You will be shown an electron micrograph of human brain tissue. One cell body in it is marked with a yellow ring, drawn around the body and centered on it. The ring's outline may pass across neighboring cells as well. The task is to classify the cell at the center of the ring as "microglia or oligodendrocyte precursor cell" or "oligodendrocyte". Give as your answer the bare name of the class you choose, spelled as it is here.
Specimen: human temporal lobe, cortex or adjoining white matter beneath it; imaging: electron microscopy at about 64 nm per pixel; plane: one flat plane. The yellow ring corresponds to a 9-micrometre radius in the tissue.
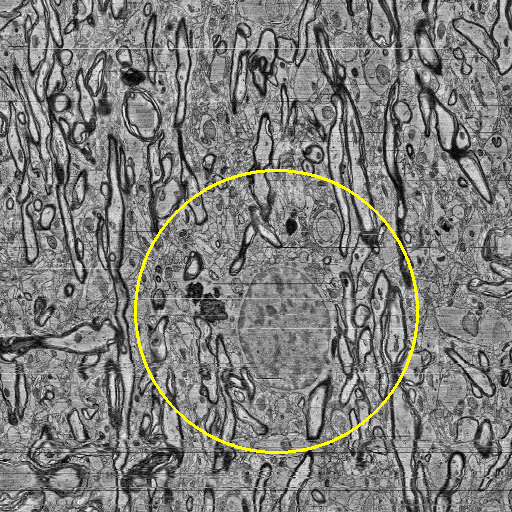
oligodendrocyte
